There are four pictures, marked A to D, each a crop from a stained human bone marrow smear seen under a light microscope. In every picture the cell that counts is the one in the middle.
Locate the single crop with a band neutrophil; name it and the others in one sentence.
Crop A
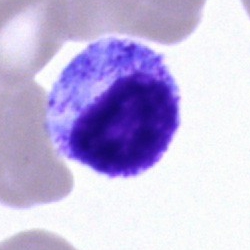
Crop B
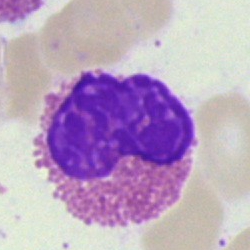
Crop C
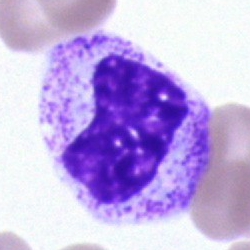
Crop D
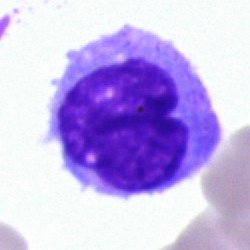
Shown in crop C is a band neutrophil, whereas crop A is a myelocyte, crop B is an eosinophil and crop D is a monocyte.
